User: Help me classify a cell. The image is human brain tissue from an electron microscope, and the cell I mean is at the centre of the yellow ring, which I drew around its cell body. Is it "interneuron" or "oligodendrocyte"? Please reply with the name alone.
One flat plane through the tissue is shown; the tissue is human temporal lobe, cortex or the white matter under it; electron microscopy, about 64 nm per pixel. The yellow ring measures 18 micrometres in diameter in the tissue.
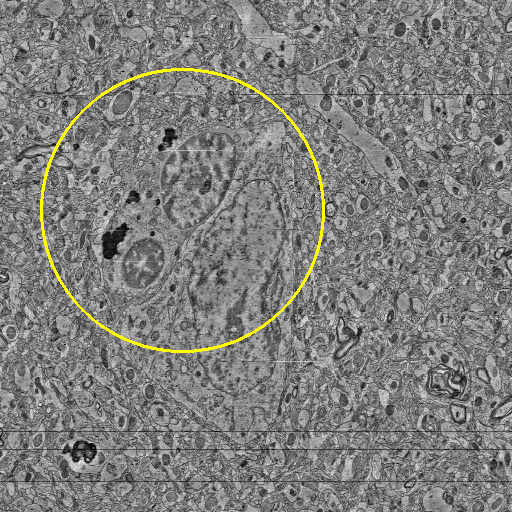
oligodendrocyte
